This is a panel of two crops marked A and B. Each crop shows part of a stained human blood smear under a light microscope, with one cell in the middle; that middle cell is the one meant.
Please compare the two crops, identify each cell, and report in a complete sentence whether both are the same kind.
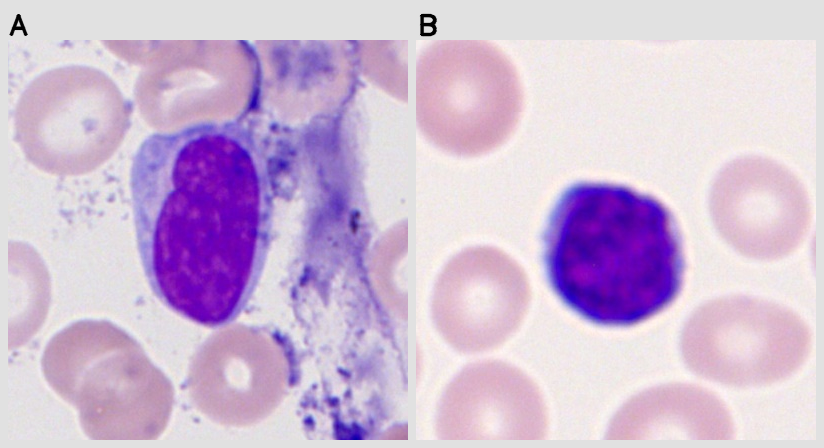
Yes, these two crops both show lymphocytes.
